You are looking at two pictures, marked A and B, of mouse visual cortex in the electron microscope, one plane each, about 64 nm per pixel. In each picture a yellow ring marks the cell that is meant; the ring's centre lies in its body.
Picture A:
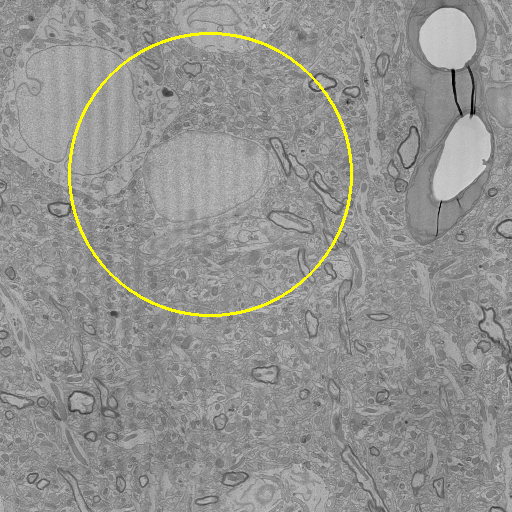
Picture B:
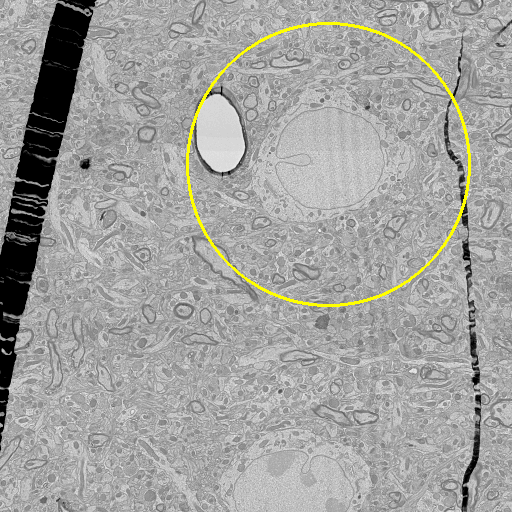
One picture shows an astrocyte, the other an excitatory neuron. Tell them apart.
It is picture A that shows an astrocyte, and picture B that shows an excitatory neuron.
